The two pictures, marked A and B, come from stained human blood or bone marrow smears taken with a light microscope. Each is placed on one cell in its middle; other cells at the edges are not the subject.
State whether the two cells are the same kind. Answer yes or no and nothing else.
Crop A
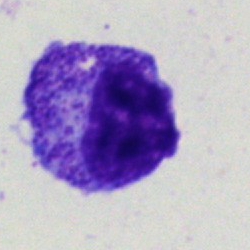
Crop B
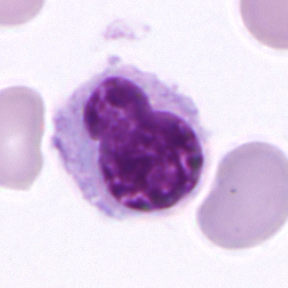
no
